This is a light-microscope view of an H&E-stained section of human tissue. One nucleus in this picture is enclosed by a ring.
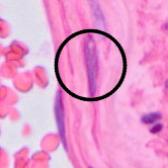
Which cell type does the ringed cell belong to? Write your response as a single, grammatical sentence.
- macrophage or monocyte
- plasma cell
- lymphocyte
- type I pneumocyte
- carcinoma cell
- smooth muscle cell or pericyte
The identity of the ringed cell: it is a smooth muscle cell or pericyte.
